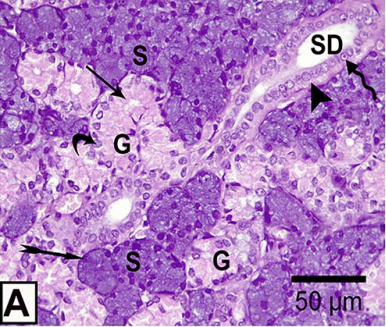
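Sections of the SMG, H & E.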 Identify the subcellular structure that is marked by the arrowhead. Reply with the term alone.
Basal striations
